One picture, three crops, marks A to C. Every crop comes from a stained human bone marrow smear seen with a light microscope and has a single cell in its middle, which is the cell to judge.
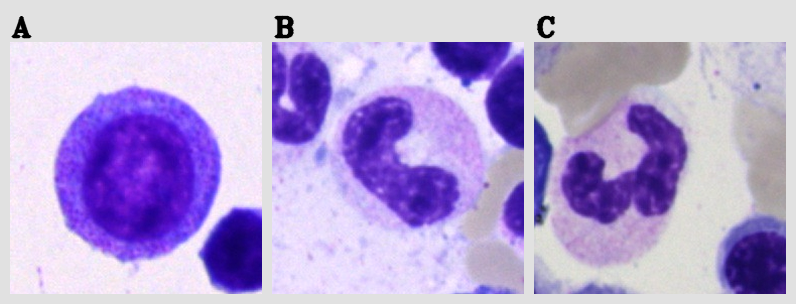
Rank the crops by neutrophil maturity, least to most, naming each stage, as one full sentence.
Across the crops, maturity increases in the order crop A (a promyelocyte), crop B (a band neutrophil) and crop C (a segmented neutrophil).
